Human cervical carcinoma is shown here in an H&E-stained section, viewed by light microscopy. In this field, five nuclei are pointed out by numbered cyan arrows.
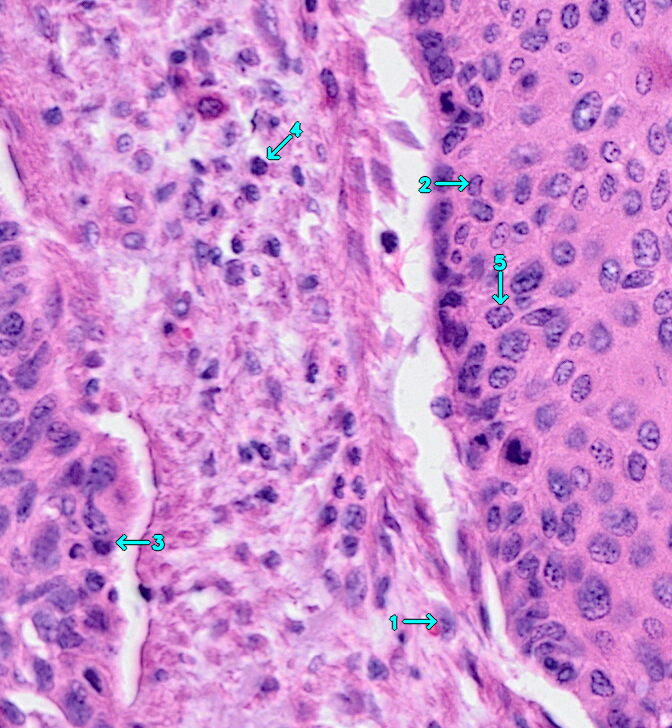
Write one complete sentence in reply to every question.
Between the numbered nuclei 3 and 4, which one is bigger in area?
The larger nucleus is 3, at roughly 1.5 times the area of 4.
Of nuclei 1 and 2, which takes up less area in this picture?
The smaller nucleus is 2, and 1 covers roughly 3 times its area.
